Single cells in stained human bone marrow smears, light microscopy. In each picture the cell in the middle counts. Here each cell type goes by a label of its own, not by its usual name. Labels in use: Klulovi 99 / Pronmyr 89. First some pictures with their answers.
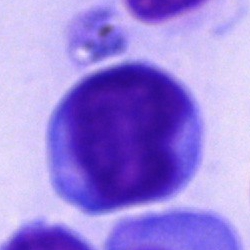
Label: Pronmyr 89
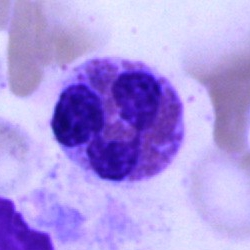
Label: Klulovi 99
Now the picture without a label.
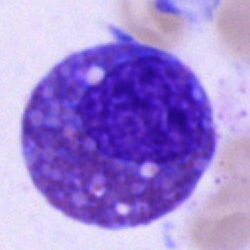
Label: Klulovi 99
